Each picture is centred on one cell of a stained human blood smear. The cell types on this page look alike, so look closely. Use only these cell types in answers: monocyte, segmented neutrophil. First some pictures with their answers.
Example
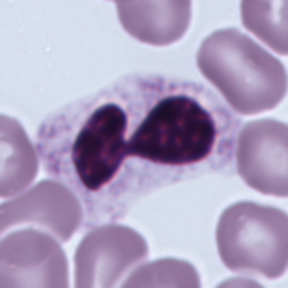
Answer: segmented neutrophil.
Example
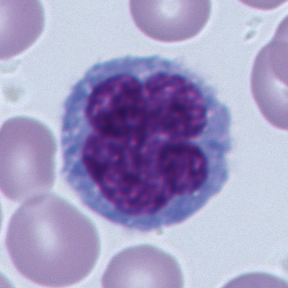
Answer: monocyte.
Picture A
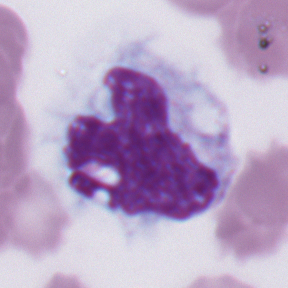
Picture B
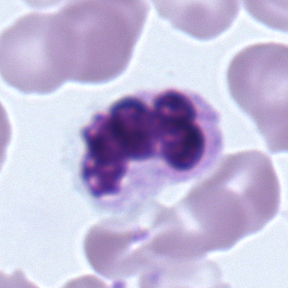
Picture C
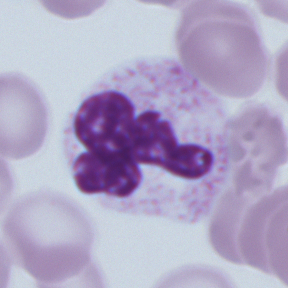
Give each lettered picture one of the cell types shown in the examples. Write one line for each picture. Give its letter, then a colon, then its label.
A: monocyte.
B: segmented neutrophil.
C: segmented neutrophil.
